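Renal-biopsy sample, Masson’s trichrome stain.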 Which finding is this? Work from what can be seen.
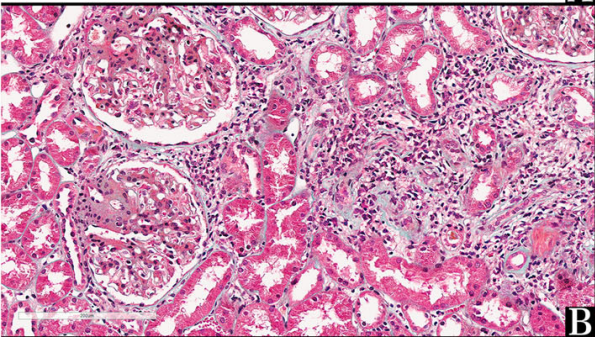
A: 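Interstitial inflammatory-cell infiltration. Dense clusters of small dark nuclei fill the space between tubules in the centre-right of the field. The tubules there are pushed apart by this cellular infiltrate.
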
